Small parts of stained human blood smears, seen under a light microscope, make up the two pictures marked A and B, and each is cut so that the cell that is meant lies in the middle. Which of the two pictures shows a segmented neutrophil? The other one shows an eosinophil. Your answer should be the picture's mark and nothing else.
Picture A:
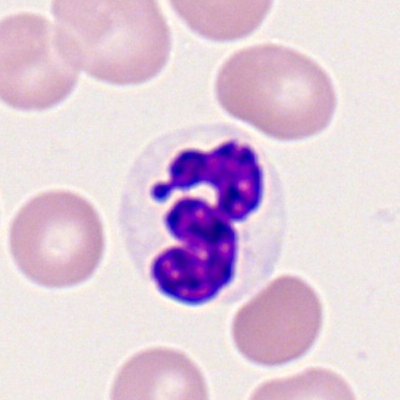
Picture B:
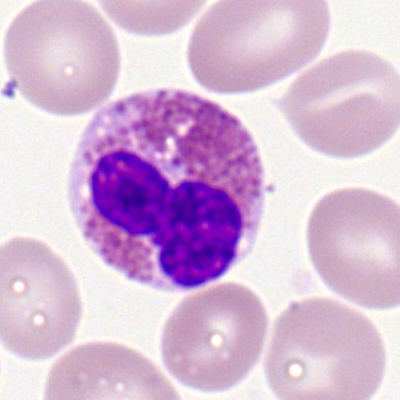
A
